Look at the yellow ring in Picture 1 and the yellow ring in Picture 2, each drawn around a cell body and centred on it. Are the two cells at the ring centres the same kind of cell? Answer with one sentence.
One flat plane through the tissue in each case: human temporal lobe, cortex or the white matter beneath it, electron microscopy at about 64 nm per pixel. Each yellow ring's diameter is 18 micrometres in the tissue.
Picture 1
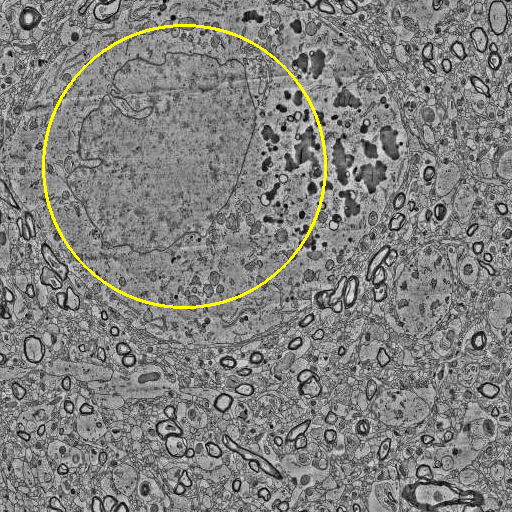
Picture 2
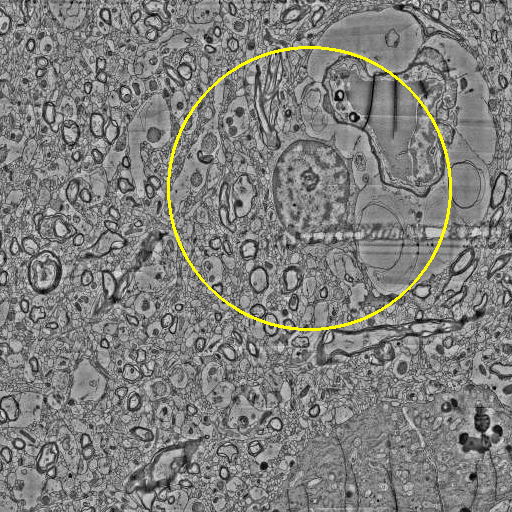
No, they are cells of two kinds.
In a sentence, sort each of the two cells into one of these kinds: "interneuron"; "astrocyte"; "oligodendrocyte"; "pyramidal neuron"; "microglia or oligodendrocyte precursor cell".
The first of the two cells is a pyramidal neuron, and the second is an oligodendrocyte.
